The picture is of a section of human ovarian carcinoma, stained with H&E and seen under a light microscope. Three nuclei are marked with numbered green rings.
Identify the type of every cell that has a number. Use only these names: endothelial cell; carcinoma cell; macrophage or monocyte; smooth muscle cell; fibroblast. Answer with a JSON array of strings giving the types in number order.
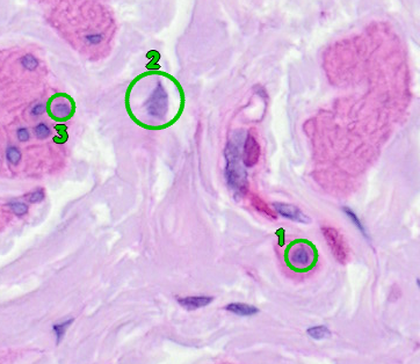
["smooth muscle cell", "fibroblast", "smooth muscle cell"]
